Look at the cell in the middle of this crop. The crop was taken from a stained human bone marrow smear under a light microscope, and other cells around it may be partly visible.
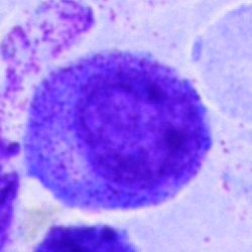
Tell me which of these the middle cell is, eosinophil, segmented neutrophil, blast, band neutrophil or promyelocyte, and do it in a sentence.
The centrally located cell in the crop is a promyelocyte.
